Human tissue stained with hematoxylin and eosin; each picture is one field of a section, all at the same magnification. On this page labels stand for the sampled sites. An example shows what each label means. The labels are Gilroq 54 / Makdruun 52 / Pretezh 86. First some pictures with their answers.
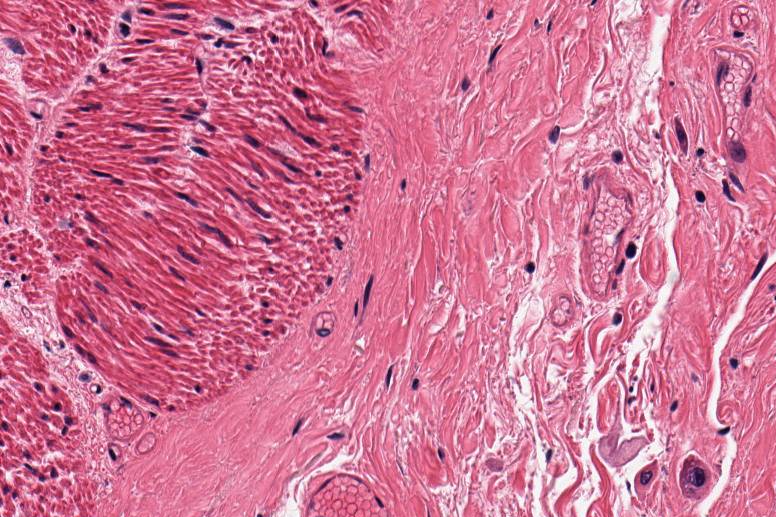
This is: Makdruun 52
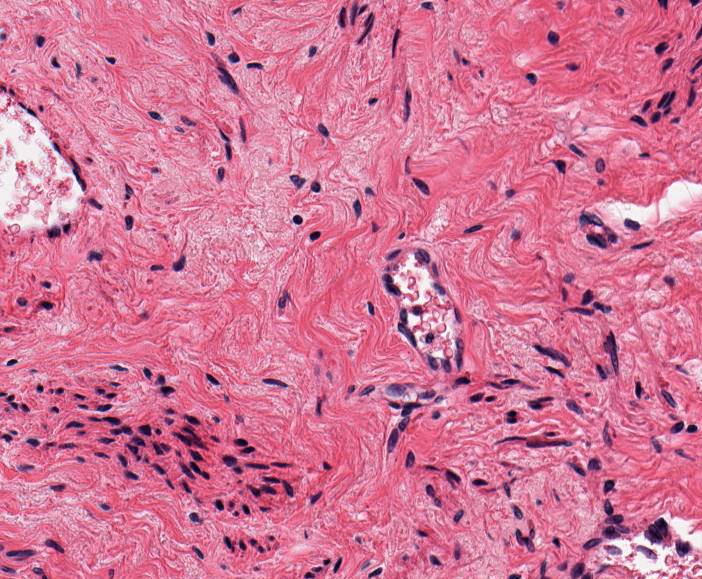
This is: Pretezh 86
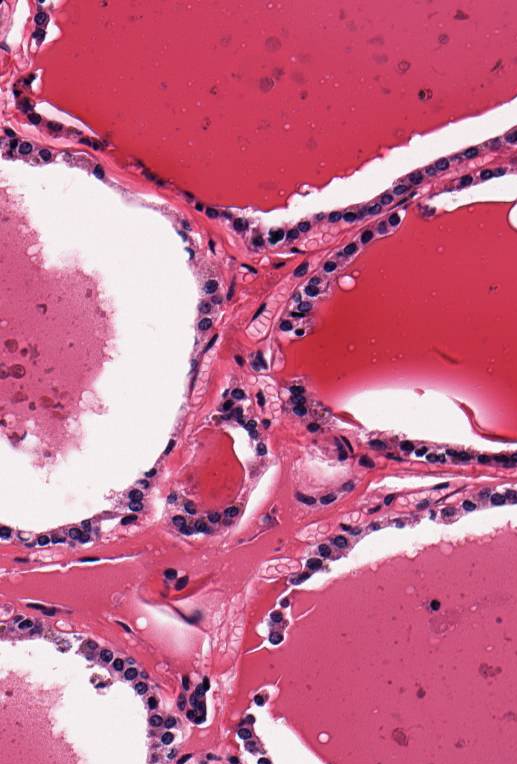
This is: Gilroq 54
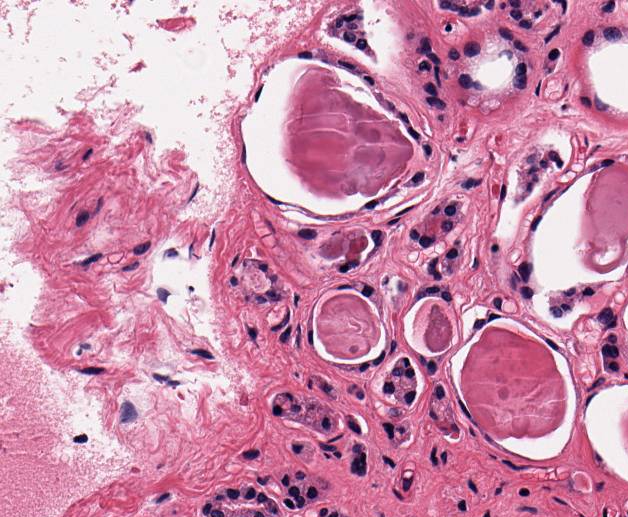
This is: Gilroq 54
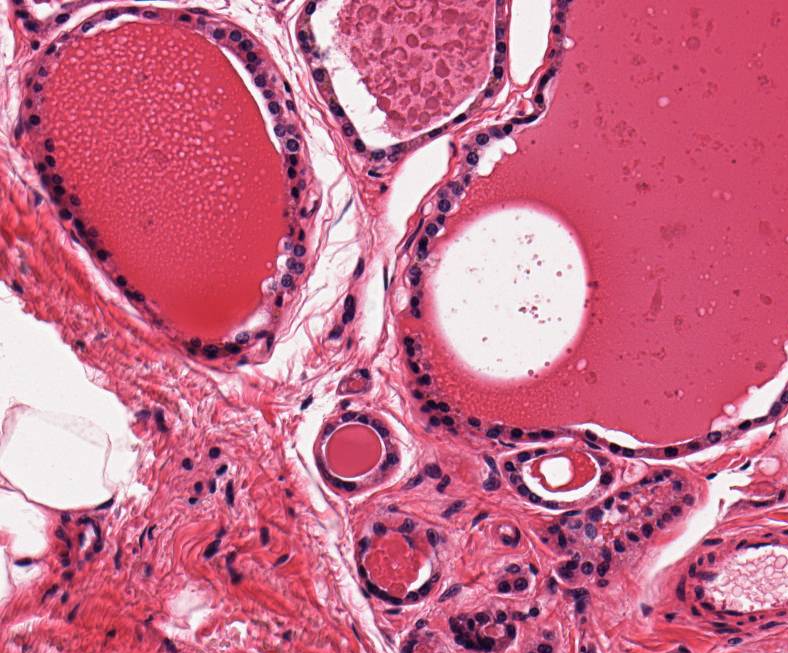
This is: Gilroq 54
